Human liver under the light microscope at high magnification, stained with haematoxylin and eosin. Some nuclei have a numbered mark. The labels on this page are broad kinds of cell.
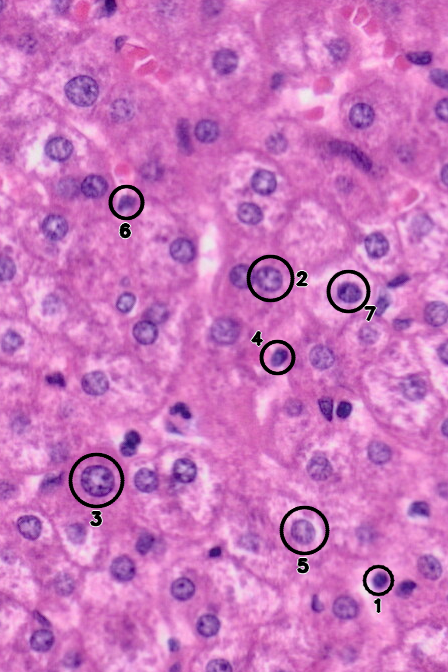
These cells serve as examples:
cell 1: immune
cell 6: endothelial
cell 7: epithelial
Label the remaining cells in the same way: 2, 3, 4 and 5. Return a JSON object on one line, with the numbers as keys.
{"2": "epithelial", "3": "epithelial", "4": "immune", "5": "epithelial"}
